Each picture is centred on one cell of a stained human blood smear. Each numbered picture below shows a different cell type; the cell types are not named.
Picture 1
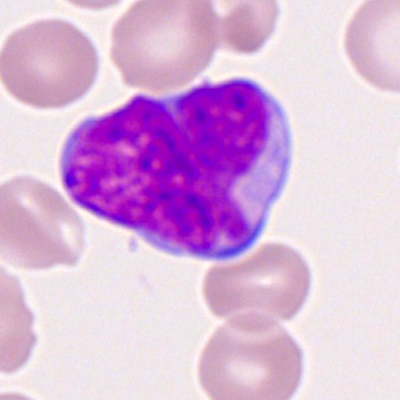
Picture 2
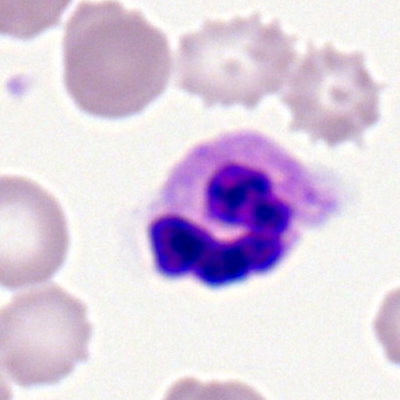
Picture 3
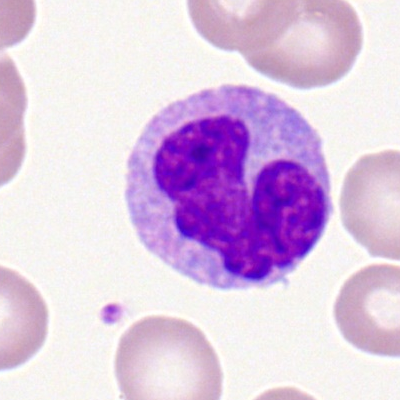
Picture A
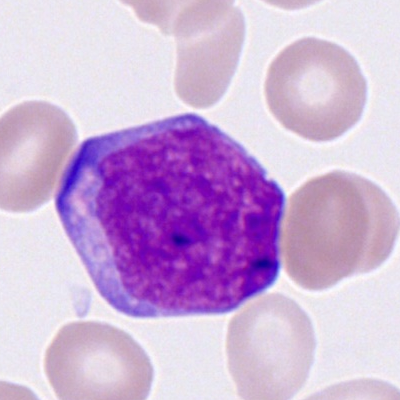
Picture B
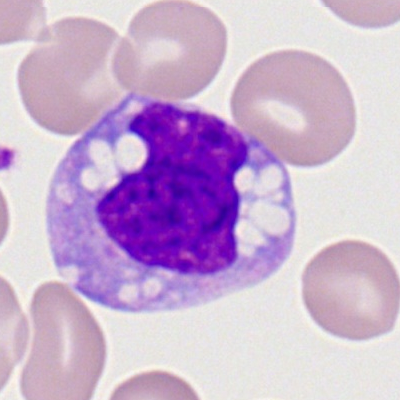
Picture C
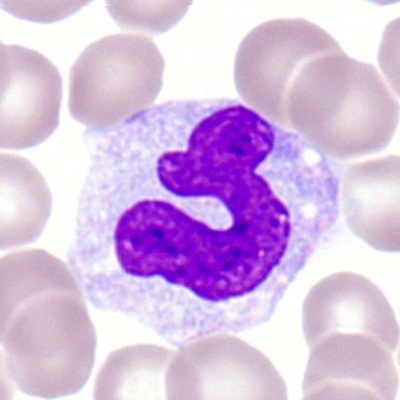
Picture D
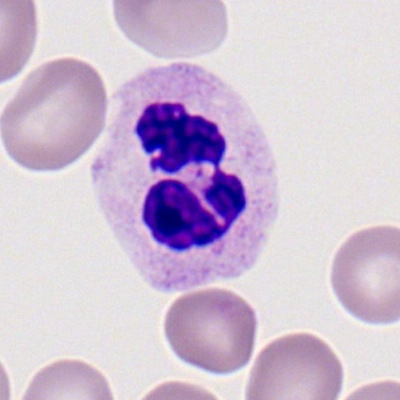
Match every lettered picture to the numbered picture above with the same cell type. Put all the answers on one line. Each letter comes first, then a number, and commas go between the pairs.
A 1, B 3, C 3, D 2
